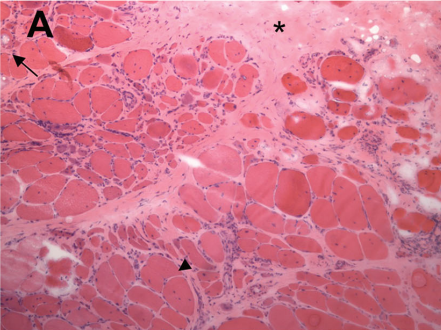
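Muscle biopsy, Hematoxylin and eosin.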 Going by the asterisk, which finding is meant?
Fibro-adipose replacement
